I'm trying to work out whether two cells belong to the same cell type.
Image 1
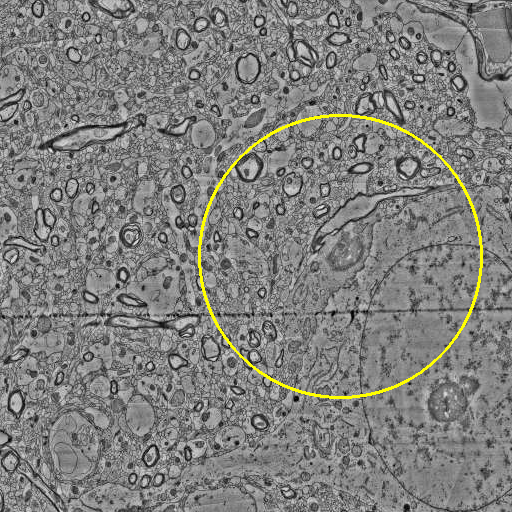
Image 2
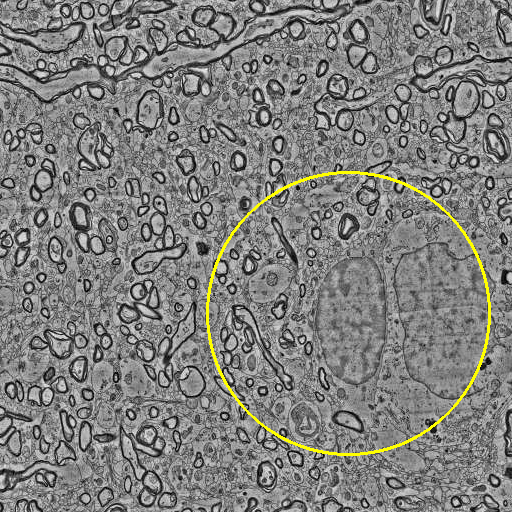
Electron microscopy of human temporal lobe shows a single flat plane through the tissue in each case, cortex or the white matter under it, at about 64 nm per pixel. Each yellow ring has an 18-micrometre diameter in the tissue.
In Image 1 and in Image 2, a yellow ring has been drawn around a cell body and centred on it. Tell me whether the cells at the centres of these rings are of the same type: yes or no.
yes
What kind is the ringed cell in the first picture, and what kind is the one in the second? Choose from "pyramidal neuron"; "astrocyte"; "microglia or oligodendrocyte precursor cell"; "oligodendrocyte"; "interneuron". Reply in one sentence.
In each of the two pictures, the ringed cell is an oligodendrocyte.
